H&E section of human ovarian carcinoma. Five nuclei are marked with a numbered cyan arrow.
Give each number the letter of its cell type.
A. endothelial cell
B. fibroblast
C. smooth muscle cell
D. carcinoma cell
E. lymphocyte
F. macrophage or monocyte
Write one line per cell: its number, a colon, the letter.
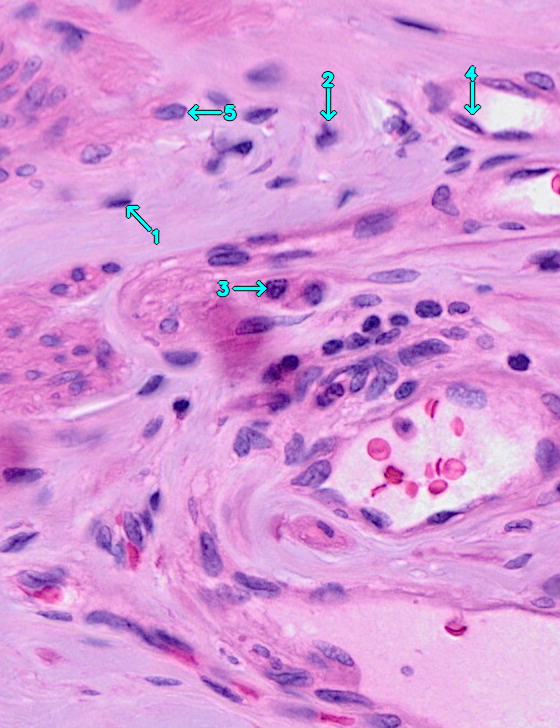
1: B
2: B
3: E
4: A
5: C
